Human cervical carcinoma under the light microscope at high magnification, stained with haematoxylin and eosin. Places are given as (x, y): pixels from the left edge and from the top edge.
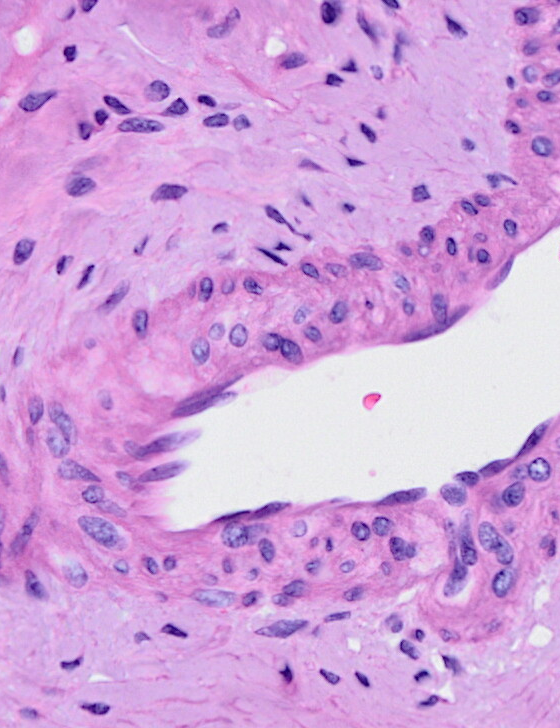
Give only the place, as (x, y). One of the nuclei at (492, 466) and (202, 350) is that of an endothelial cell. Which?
(492, 466)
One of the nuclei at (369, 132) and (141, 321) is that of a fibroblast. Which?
(369, 132)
